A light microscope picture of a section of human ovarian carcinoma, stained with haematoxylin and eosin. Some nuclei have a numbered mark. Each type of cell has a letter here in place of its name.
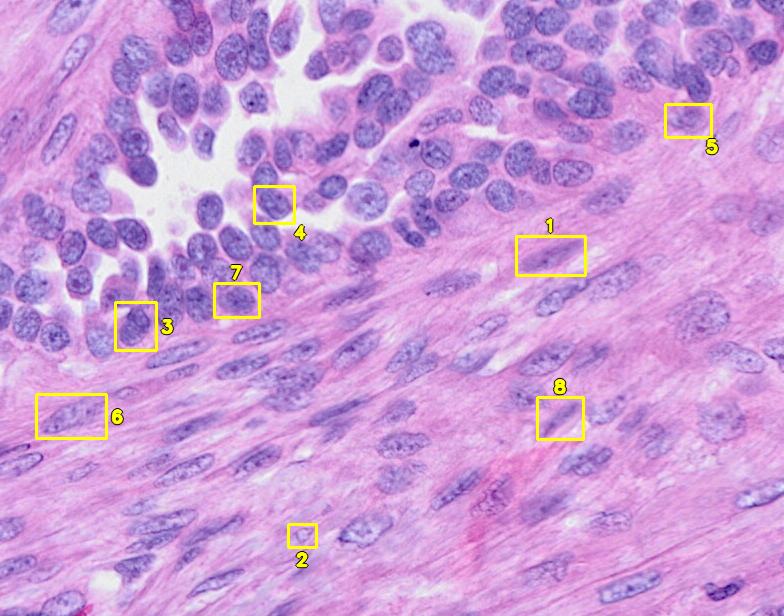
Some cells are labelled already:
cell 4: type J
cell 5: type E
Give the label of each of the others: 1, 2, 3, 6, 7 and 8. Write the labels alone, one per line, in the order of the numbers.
type E
type E
type J
type E
type J
type E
